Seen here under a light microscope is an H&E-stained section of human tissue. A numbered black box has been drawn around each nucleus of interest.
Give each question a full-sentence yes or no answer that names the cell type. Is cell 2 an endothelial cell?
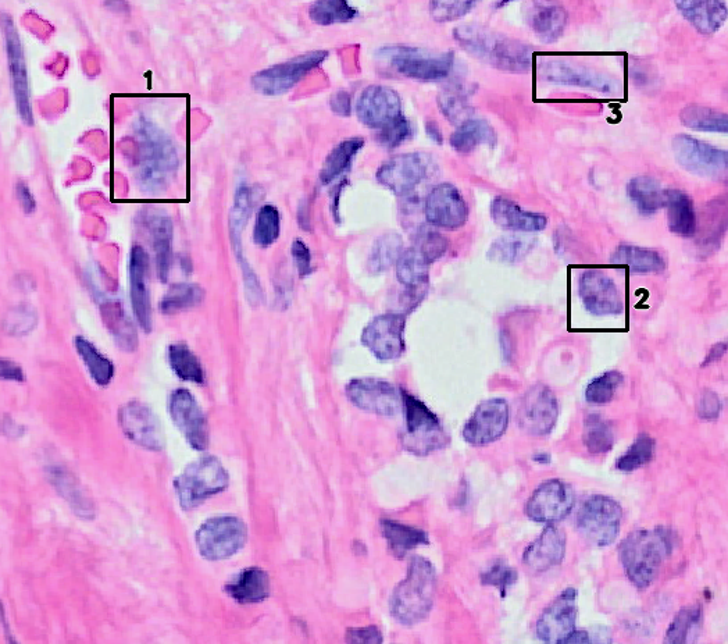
No; cell 2 is a carcinoma cell, not an endothelial cell.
